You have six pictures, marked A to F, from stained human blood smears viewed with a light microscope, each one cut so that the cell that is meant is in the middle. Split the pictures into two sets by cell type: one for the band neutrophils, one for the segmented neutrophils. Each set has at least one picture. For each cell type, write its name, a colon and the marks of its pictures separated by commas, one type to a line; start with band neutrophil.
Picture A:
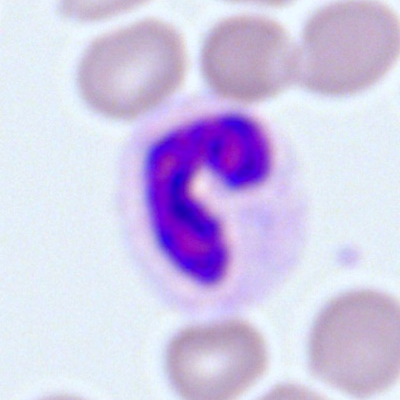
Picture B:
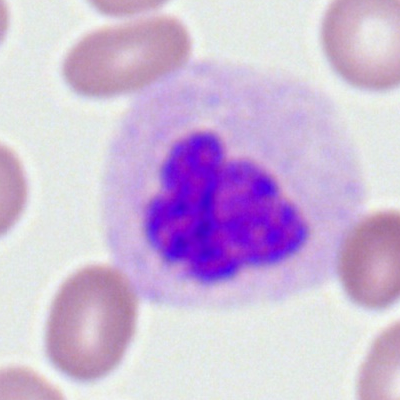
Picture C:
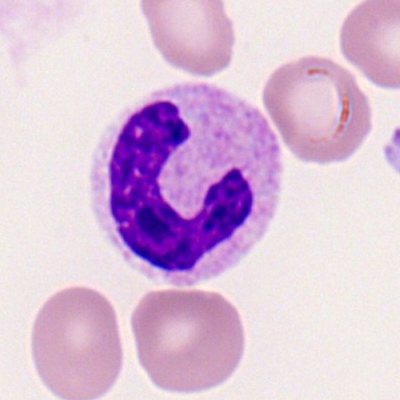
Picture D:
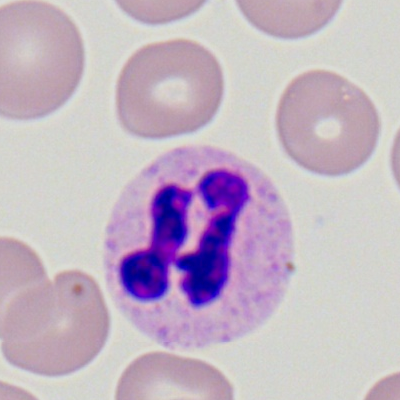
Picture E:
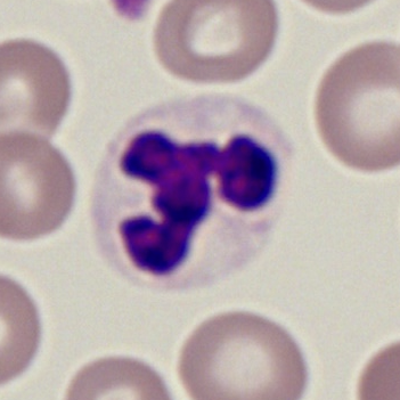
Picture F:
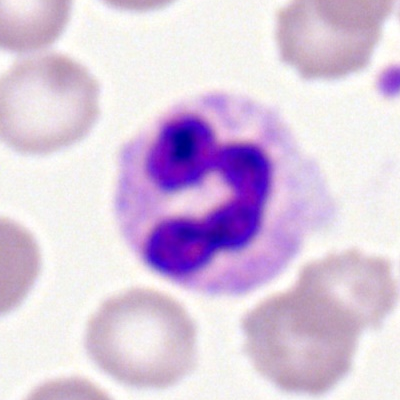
band neutrophil: A, C
segmented neutrophil: B, D, E, F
